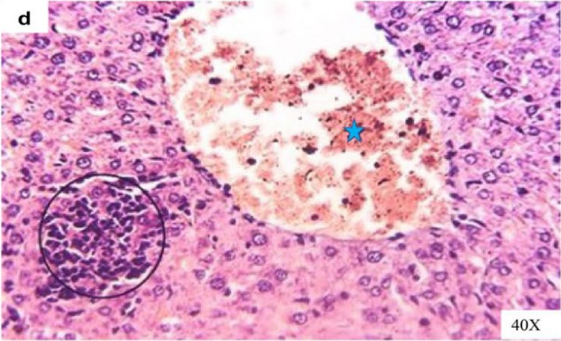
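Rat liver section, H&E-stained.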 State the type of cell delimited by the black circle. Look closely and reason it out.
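The circled area holds a dense cluster of small cells with dark round nuclei and scant cytoplasm. These small dark cells replace the pink polygonal liver cells within the circle. The answer: lymphocytes.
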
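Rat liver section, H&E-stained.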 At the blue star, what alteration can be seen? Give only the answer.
Widening of central vein.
